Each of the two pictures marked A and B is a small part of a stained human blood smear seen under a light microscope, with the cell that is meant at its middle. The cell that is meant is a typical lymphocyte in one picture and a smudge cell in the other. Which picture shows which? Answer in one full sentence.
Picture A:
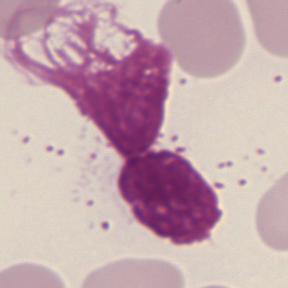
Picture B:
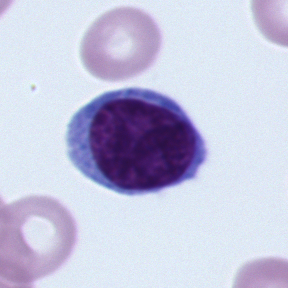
In picture A the cell is a smudge cell; in picture B, a typical lymphocyte.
